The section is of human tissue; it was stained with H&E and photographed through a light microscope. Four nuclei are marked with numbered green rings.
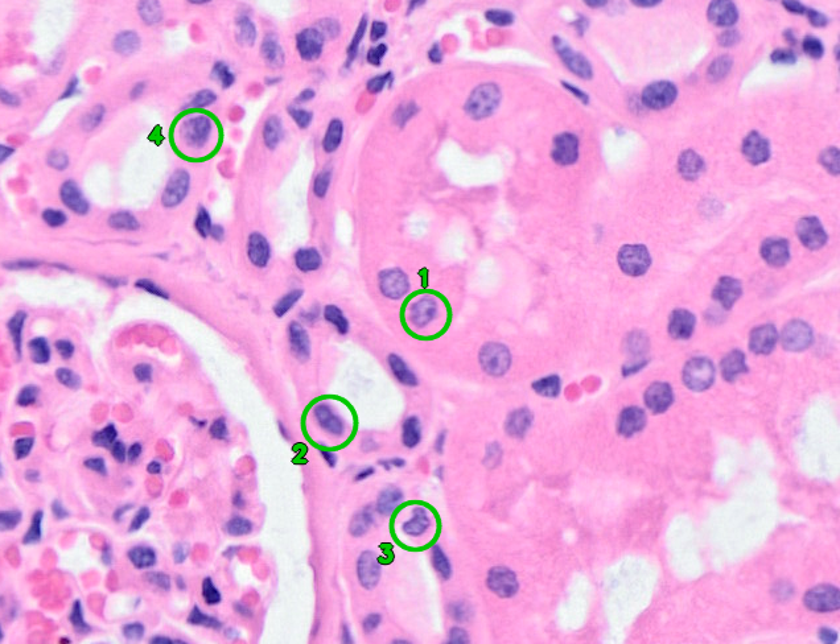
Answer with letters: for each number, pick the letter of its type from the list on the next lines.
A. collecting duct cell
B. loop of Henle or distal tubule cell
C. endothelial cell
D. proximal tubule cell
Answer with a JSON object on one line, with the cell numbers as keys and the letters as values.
{"1": "D", "2": "A", "3": "A", "4": "A"}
